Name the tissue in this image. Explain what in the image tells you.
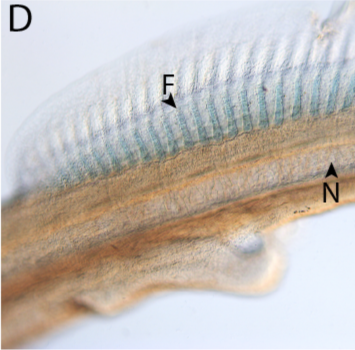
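A row of evenly spaced, parallel blue-stained rods runs along the upper edge of the body. Thin translucent fin tissue extends above the rods.
Answer: dorsal fin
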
